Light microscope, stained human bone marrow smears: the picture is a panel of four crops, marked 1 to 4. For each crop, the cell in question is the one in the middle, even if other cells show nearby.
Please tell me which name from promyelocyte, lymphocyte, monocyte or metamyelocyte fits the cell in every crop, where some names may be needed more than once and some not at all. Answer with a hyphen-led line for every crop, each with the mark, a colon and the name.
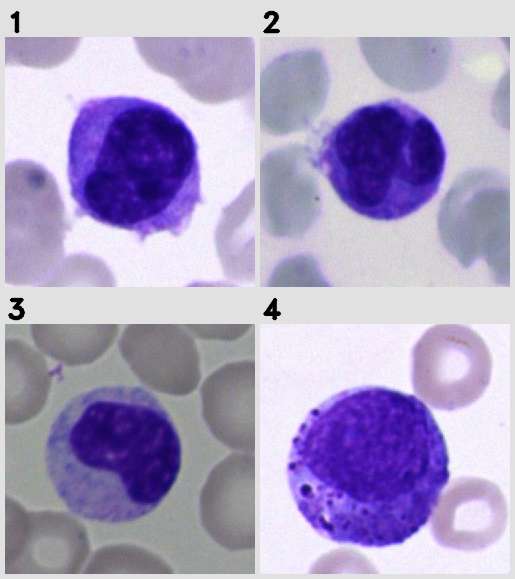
- 1: monocyte
- 2: monocyte
- 3: metamyelocyte
- 4: promyelocyte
